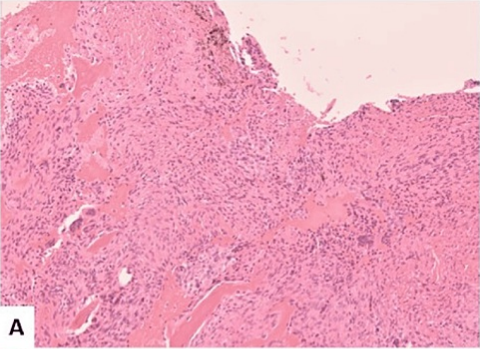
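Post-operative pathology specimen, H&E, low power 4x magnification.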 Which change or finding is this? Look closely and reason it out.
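Densely cellular tissue of elongated nuclei fills most of the field. Irregular pink bands of matrix lie scattered among the cells.
Conclusion: spindle cell proliferation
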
